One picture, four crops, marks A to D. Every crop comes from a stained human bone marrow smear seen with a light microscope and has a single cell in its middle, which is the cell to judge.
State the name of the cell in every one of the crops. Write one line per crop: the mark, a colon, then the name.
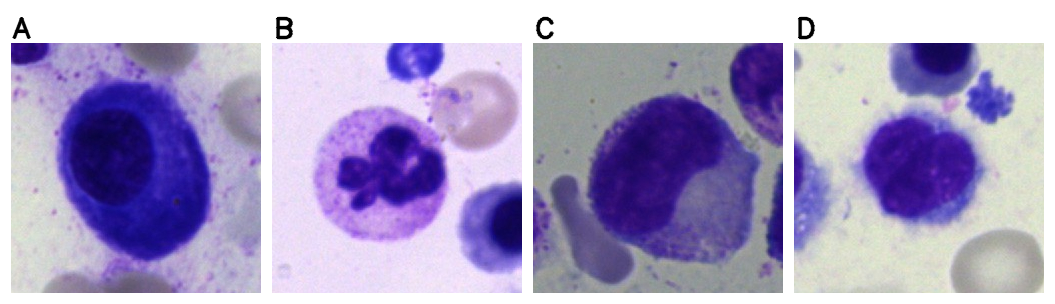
A: plasma cell
B: segmented neutrophil
C: metamyelocyte
D: hairy cell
